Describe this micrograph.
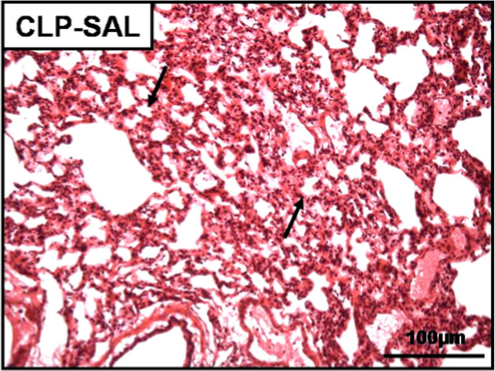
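This is lung parenchyma in which large areas of alveolar collapse are seen: the air spaces are lost and the tissue is dense and crowded with dark purple nuclei. The alveolar septa that remain are thickened and highly cellular. The surviving air spaces are irregular in size and shape and scattered among the collapsed areas. Some vessels contain red blood cells. In the lower left corner there are pink, layered walls of larger bronchovascular structures.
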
